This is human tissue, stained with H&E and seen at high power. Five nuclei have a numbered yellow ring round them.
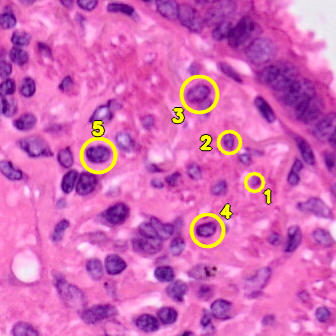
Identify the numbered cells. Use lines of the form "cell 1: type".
cell 1: smooth muscle cell or pericyte
cell 2: smooth muscle cell or pericyte
cell 3: mast cell
cell 4: mast cell
cell 5: lymphocyte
